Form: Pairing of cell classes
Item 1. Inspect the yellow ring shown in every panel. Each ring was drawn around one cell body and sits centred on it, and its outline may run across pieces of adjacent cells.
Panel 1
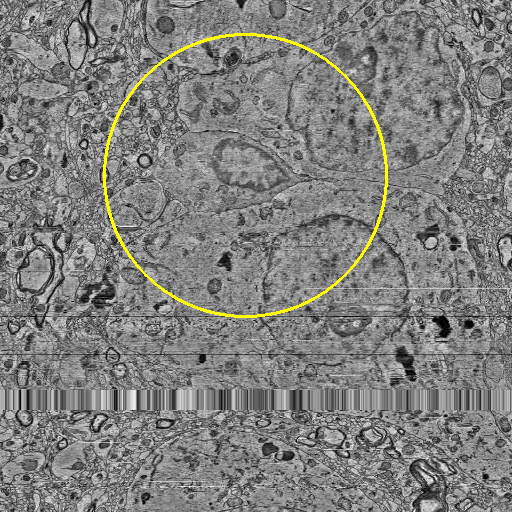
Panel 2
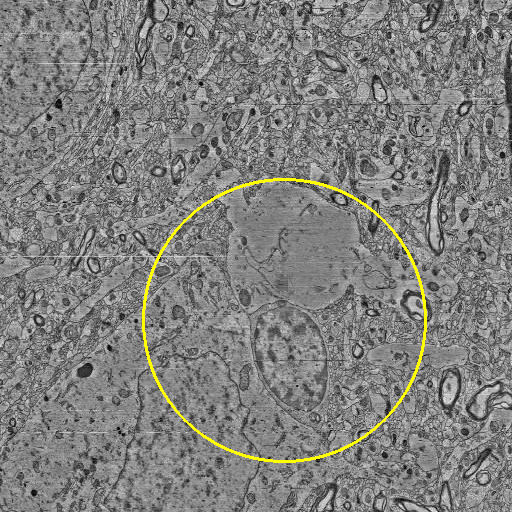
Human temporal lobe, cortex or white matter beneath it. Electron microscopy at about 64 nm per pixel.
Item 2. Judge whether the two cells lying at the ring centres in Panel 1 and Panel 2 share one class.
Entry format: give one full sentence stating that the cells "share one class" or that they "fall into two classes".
The cells at the ring centres in Panel 1 and Panel 2 share one class.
